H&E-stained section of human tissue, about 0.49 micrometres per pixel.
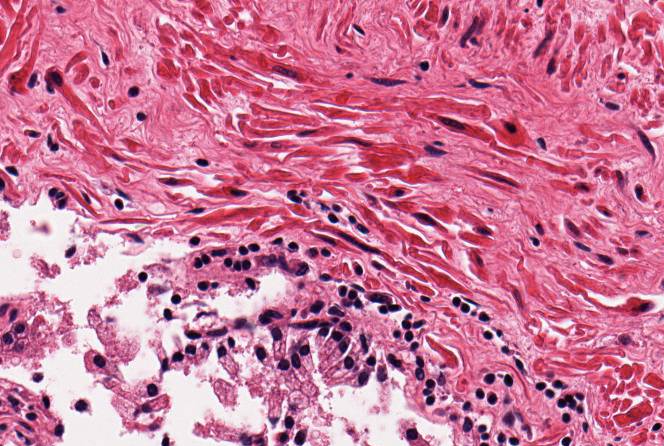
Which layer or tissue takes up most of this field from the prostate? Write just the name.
fibromuscular stroma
